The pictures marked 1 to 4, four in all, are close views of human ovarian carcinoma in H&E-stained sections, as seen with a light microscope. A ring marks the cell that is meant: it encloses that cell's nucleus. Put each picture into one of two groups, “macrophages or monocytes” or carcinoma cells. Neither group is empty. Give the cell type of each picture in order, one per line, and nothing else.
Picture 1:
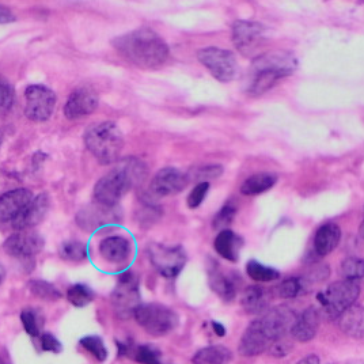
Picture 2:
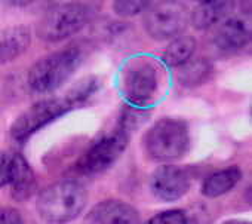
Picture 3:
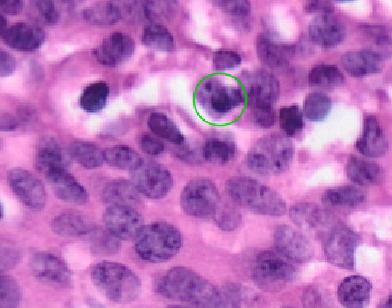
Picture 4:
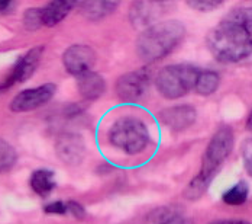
macrophage or monocyte
carcinoma cell
macrophage or monocyte
macrophage or monocyte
